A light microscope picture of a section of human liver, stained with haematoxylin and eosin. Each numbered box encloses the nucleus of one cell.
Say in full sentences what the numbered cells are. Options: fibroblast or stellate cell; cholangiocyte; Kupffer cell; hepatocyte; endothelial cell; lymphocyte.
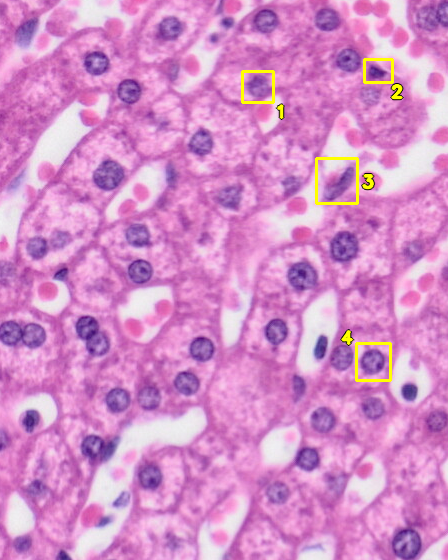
Cell 1 is a hepatocyte, cell 2 is a fibroblast or stellate cell, cell 3 is a Kupffer cell and cell 4 is a hepatocyte.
